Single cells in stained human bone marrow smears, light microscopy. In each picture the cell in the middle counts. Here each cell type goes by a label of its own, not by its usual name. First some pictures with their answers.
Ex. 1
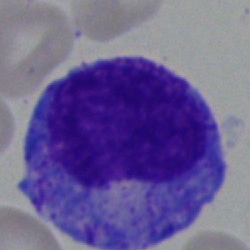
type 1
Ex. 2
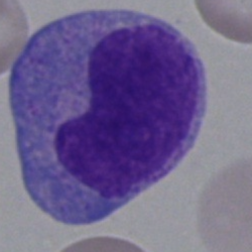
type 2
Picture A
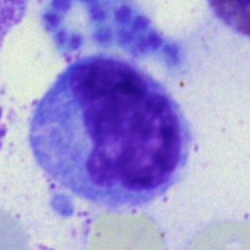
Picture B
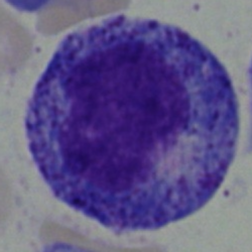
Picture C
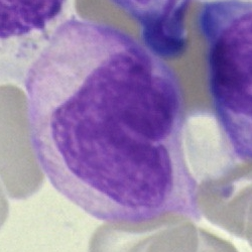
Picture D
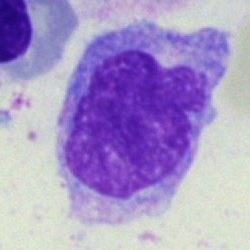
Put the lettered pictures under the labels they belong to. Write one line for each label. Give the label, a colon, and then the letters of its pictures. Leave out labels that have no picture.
type 1: B
type 2: A, C, D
